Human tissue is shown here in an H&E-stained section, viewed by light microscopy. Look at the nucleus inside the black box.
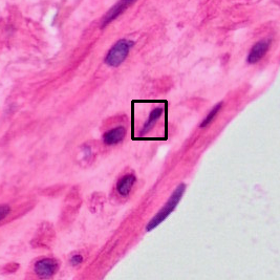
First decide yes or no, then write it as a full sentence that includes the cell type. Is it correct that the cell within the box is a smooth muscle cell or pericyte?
Yes, the cell within the box in this field is a smooth muscle cell or pericyte.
